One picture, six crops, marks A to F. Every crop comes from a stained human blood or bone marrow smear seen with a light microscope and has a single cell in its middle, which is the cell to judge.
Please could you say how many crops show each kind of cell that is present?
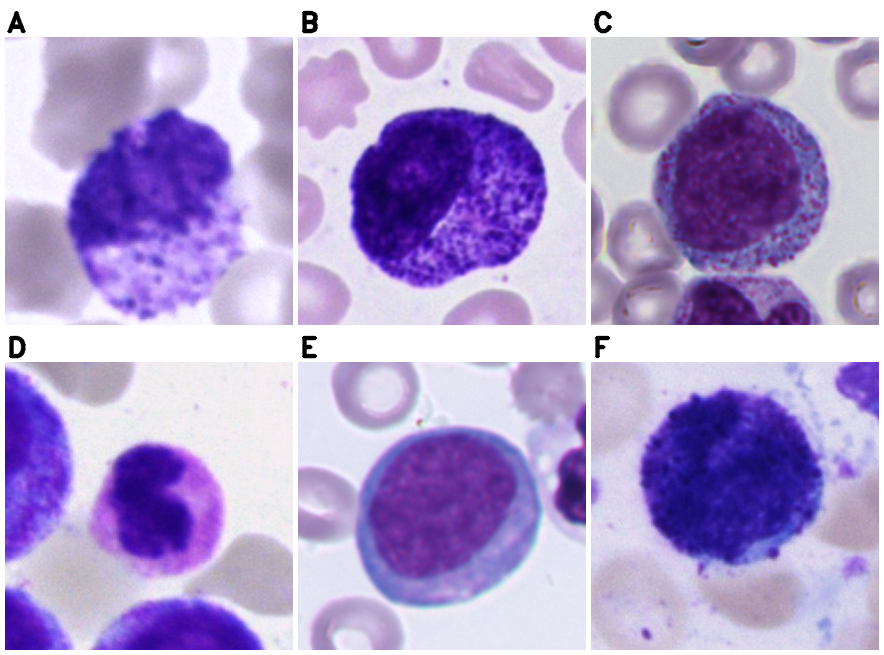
basophil: 3
promyelocyte: 3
